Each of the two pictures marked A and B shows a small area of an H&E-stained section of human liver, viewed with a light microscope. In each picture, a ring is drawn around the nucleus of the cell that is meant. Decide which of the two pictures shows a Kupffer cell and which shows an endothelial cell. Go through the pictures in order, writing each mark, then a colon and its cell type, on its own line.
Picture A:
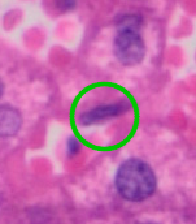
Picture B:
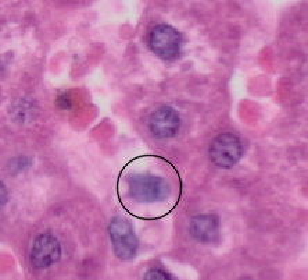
A: Kupffer cell
B: endothelial cell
